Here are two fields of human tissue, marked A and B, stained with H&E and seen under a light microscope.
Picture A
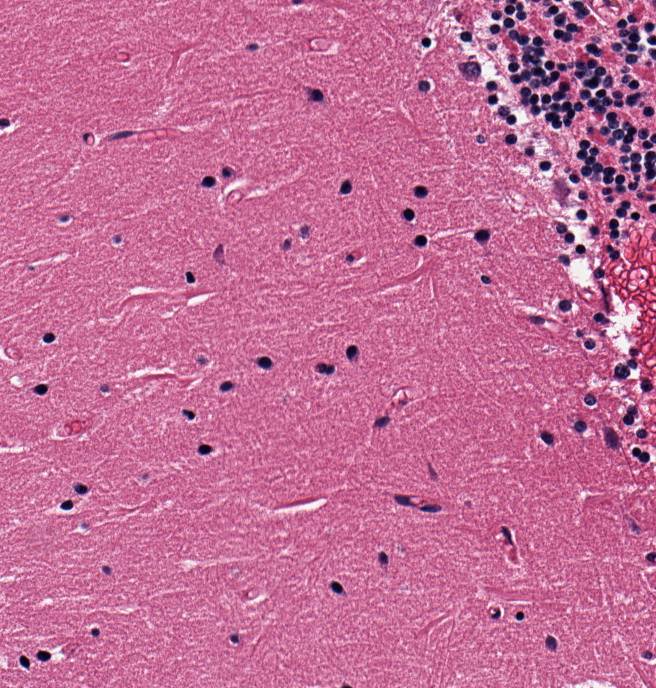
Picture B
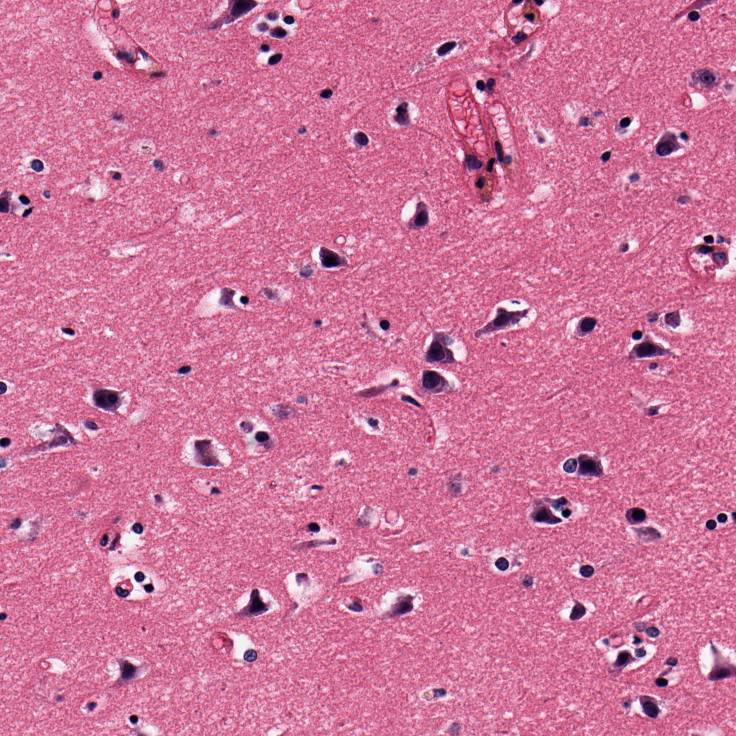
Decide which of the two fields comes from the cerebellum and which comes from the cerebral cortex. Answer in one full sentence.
Picture A comes from the cerebellum; picture B comes from the cerebral cortex.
